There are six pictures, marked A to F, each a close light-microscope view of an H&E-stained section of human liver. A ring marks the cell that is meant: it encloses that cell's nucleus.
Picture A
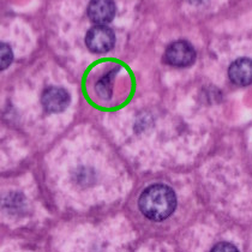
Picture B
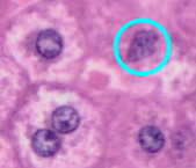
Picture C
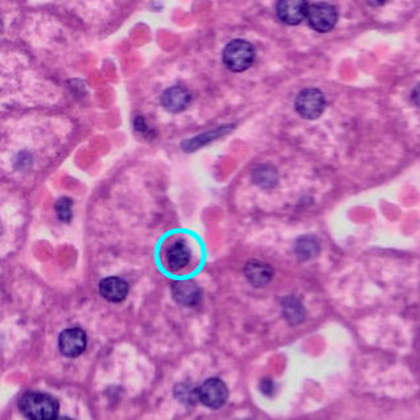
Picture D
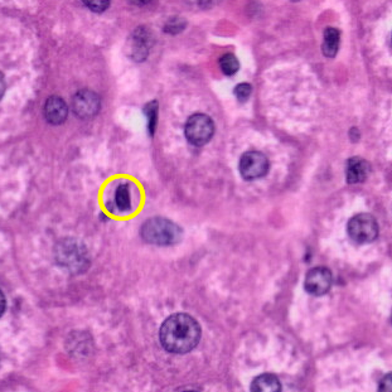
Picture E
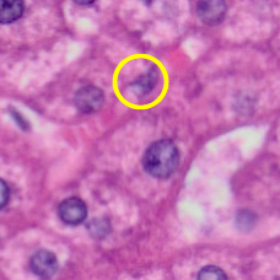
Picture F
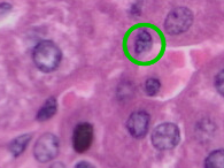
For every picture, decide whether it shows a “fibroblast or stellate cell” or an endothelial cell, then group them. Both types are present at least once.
A: endothelial cell
B: fibroblast or stellate cell
C: fibroblast or stellate cell
D: fibroblast or stellate cell
E: endothelial cell
F: fibroblast or stellate cell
